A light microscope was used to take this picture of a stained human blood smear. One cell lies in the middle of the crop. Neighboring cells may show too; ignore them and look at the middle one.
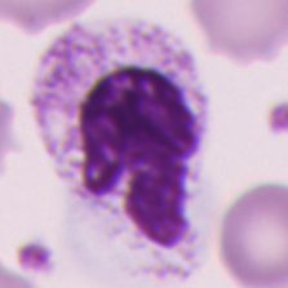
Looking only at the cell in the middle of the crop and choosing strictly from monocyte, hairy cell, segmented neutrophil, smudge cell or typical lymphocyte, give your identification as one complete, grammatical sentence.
The cell of interest, in the center, is a segmented neutrophil.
